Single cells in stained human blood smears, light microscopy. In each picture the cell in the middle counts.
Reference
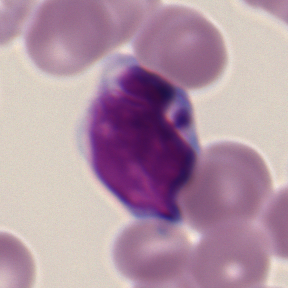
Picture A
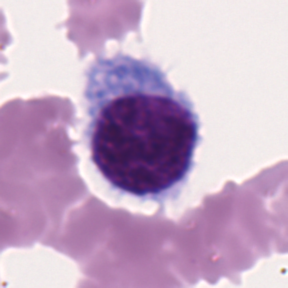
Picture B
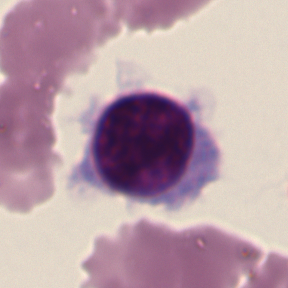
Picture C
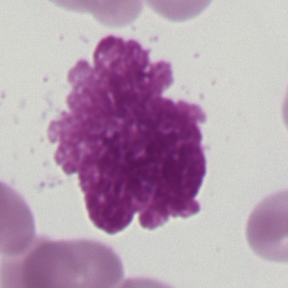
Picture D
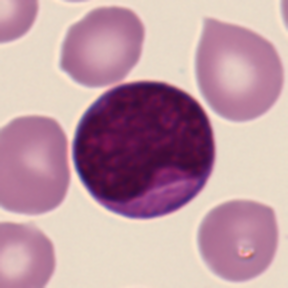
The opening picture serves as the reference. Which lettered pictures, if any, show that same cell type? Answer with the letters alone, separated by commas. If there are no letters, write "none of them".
none of them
